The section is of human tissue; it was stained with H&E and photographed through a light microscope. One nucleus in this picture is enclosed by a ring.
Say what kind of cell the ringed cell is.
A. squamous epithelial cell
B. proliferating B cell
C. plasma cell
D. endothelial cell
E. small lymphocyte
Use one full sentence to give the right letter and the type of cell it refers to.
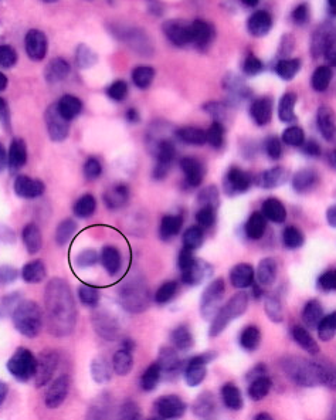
Exactly as option D gives it, the ringed cell is an endothelial cell.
